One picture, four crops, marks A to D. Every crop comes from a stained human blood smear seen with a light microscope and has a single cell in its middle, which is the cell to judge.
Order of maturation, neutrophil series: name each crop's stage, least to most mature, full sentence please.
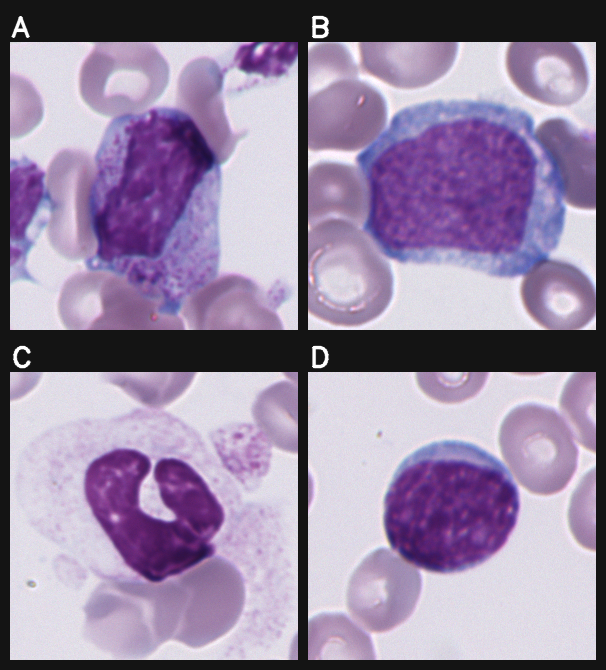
Arranged by increasing maturity, the sequence is crop D (a myeloblast), crop B (a promyelocyte), crop A (a myelocyte) and crop C (a band neutrophil).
